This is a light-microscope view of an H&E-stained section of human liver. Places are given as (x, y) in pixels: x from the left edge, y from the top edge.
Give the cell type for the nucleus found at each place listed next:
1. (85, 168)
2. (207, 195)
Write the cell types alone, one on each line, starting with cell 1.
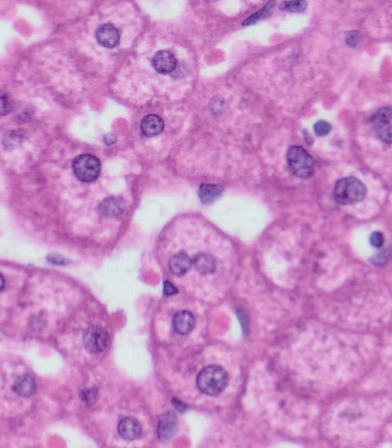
hepatocyte
endothelial cell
